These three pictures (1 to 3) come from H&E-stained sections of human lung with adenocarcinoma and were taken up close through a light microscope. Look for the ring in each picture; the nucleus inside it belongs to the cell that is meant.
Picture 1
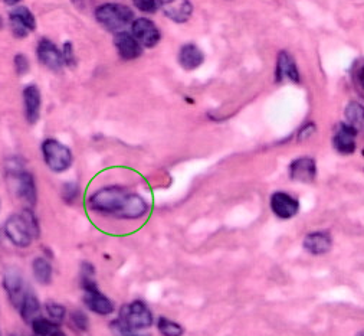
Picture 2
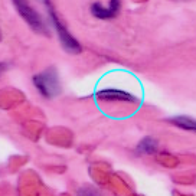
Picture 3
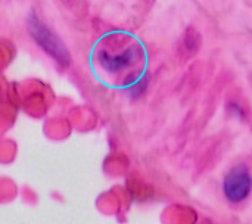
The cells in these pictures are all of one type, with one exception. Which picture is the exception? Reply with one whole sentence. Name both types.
Picture 3 is the odd one out: it shows a “smooth muscle cell or pericyte”, while the others show endothelial cells.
